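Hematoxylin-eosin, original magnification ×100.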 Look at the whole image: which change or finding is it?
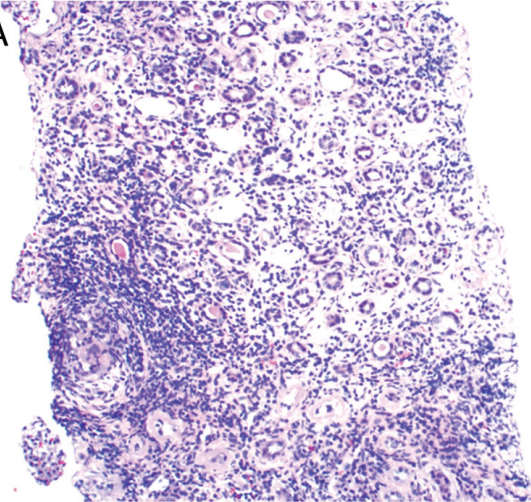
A: Diffuse interstitial cellular infiltrate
